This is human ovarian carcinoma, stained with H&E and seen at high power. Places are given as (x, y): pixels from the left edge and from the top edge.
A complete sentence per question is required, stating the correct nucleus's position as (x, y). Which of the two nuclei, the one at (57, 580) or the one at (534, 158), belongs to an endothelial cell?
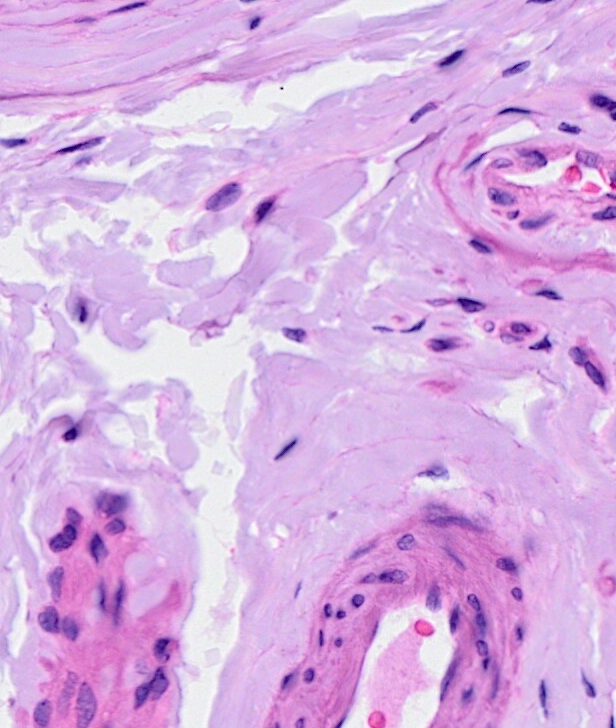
The nucleus positioned at (534, 158) is the one that belongs to an endothelial cell.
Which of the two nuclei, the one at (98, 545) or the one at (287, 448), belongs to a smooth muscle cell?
The nucleus positioned at (98, 545) forms part of a smooth muscle cell.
